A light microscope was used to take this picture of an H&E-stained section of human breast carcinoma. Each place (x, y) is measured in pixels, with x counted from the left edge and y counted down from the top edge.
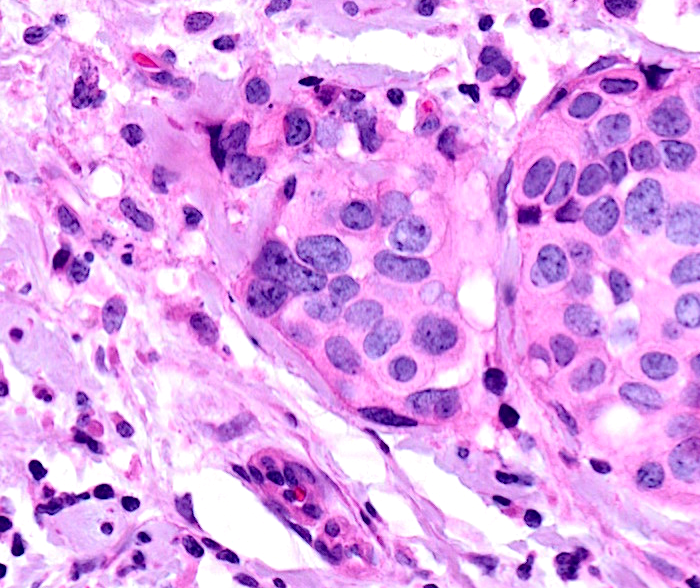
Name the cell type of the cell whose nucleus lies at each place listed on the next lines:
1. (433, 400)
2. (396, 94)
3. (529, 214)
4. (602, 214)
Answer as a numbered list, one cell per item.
1. carcinoma cell
2. lymphocyte
3. carcinoma cell
4. carcinoma cell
